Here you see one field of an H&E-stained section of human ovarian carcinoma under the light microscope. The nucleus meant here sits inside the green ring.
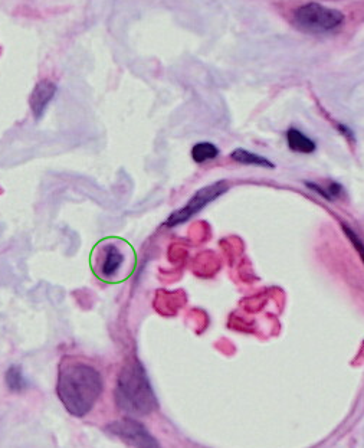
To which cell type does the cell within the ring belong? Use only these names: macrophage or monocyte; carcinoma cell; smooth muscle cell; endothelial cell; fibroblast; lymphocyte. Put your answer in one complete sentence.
The category to which the cell within the ring belongs is that of a macrophage or monocyte.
